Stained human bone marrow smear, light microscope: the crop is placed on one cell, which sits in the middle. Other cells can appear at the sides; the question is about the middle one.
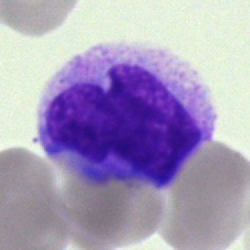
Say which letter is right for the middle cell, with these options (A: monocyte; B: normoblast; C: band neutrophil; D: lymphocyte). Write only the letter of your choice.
A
